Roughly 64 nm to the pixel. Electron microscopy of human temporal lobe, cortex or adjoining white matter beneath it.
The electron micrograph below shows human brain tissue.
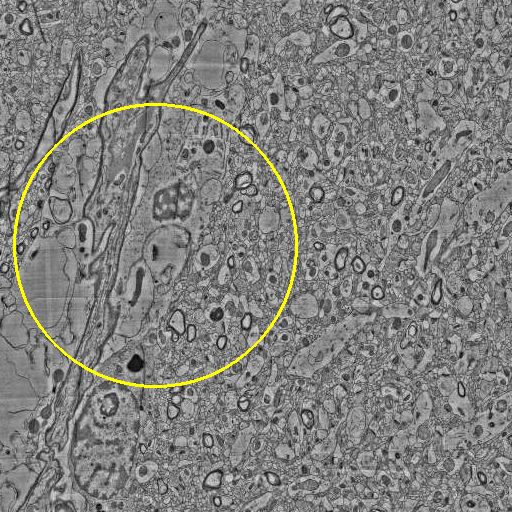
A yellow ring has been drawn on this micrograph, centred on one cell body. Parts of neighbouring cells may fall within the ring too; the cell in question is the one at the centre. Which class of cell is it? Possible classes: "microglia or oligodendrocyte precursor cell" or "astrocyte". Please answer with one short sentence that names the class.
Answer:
In the centre of the ring sits a microglial cell or oligodendrocyte precursor cell.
